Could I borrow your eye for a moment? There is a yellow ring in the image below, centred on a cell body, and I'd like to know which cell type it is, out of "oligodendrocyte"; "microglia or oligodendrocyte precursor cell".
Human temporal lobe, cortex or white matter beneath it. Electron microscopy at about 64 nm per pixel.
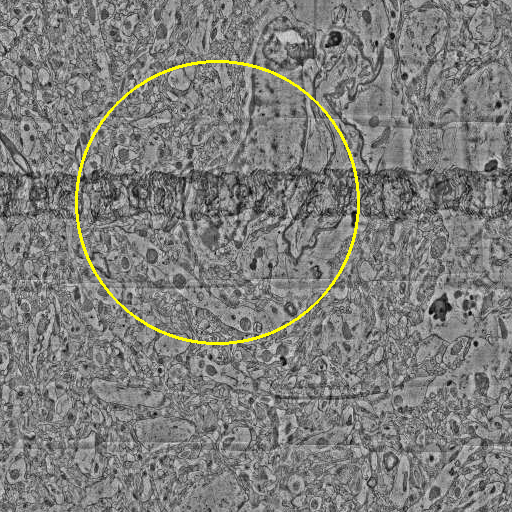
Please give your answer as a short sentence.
The cell body at the centre is that of a microglial cell or oligodendrocyte precursor cell.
